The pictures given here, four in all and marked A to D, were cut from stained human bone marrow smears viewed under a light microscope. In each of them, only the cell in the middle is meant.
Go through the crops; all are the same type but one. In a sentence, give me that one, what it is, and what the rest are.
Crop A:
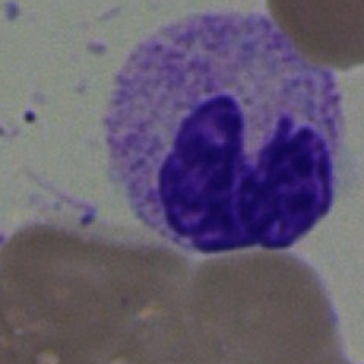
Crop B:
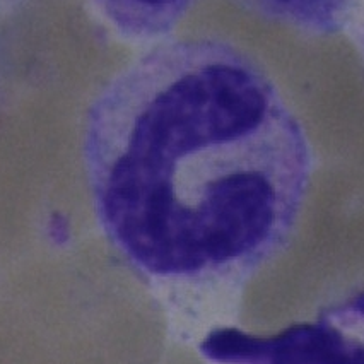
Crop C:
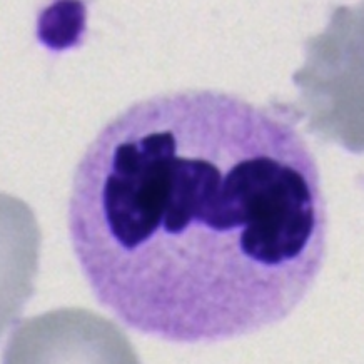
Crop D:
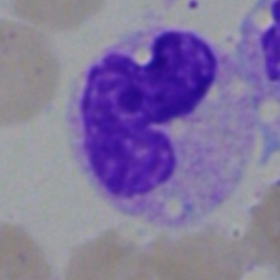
Identified in crop C is a segmented neutrophil, whereas the other crops all show band neutrophils.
